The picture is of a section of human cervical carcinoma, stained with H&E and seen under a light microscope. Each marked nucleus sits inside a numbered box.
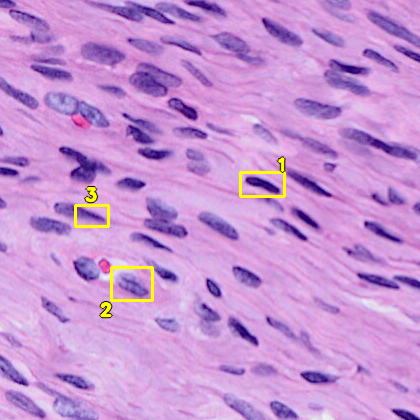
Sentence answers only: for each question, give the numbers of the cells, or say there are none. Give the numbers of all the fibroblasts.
Marked by the numbers 1 and 3 are cells that are fibroblasts.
